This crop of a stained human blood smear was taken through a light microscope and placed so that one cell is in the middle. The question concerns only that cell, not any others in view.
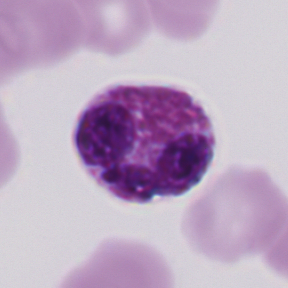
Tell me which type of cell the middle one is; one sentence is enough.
As for the cell in the middle, it is an eosinophil.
